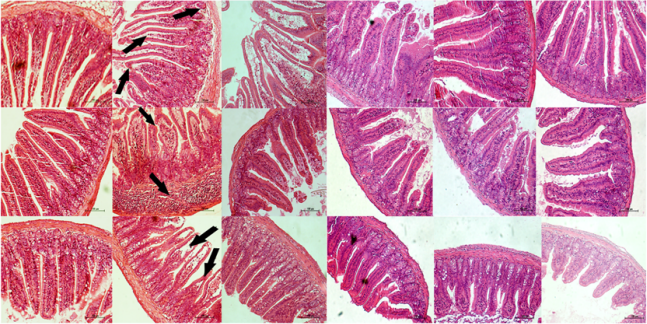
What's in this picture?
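This is a grid of eighteen small fields of the small intestinal wall stained with hematoxylin and eosin, arranged in three rows and six columns. In every field, slender finger-like villi project from the mucosa toward the lumen and are covered by pink to purple epithelium. At the base of the villi lies a denser, more purple band of mucosa, and beneath it a thin pink layer of muscle runs along the outer edge of the section. The villi stand mostly parallel to one another, but their length, spacing and regularity differ between the fields. In some fields the villi look shorter, more irregular or separated from one another, and black arrows are drawn on the fields of one column pointing at the villi.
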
